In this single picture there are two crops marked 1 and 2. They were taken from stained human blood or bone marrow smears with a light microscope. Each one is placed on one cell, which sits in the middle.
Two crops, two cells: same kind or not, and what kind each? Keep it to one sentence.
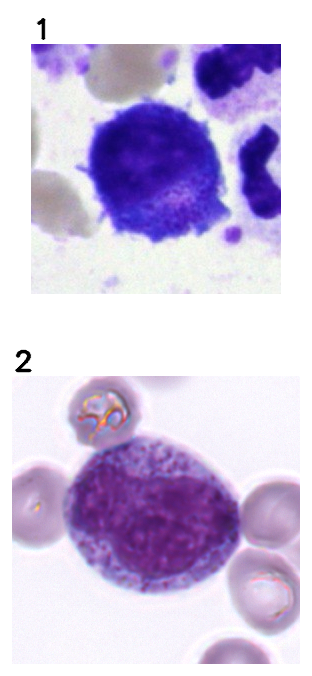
Yes, these two crops both show promyelocytes.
